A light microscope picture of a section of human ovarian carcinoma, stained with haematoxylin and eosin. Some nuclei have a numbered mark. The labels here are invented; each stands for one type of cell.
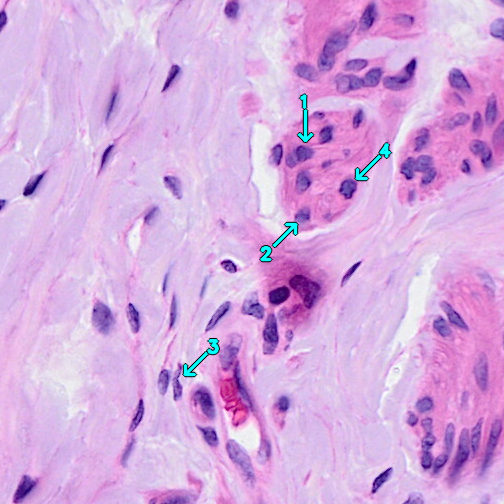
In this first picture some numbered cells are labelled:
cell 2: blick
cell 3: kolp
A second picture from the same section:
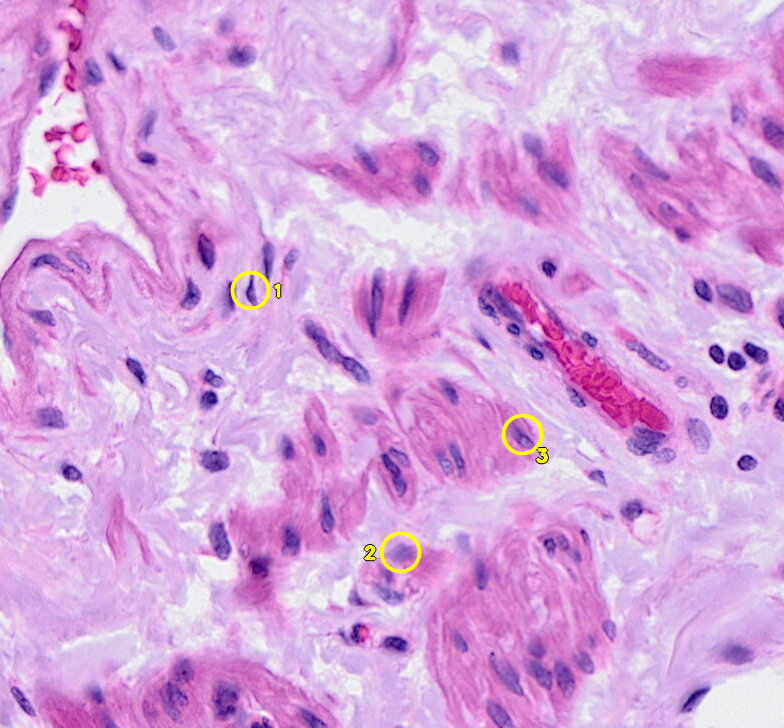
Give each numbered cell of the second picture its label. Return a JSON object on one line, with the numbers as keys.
{"1": "kolp", "2": "blick", "3": "blick"}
